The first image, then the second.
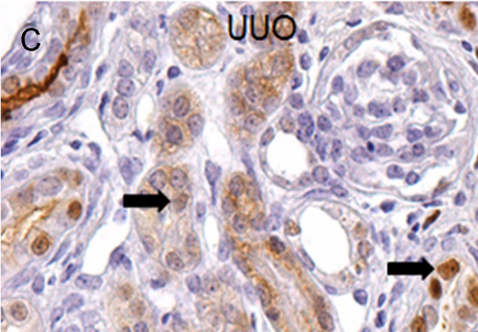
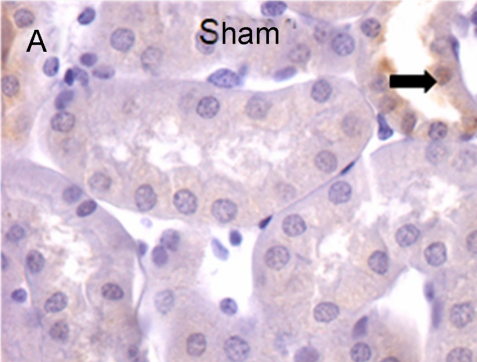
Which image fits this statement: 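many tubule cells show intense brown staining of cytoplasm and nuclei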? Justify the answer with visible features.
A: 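First image: many tubule cells have brown cytoplasm and several nuclei are dark brown.
Conclusion: the first image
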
